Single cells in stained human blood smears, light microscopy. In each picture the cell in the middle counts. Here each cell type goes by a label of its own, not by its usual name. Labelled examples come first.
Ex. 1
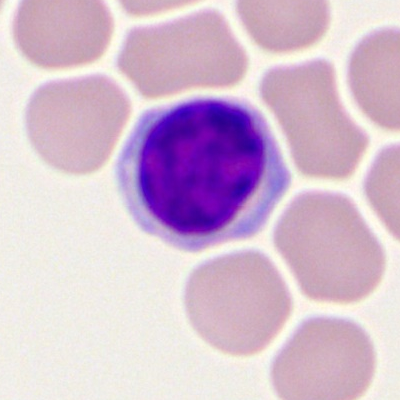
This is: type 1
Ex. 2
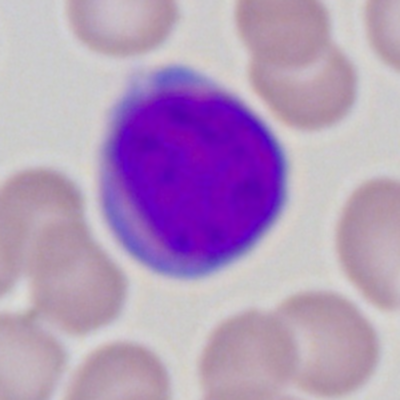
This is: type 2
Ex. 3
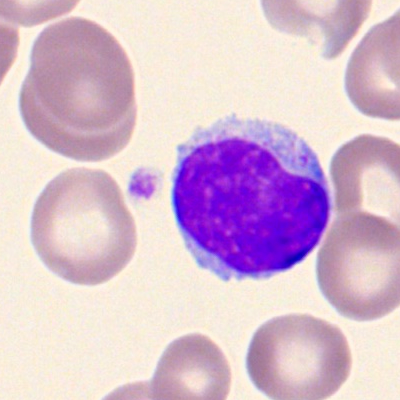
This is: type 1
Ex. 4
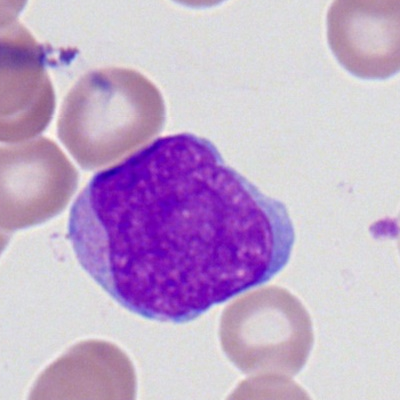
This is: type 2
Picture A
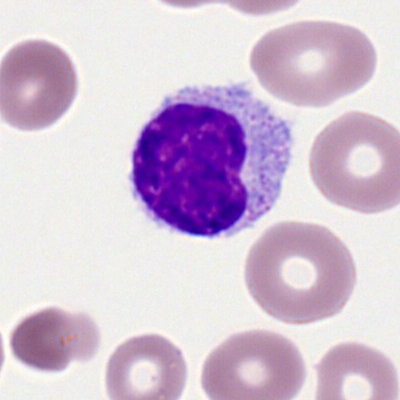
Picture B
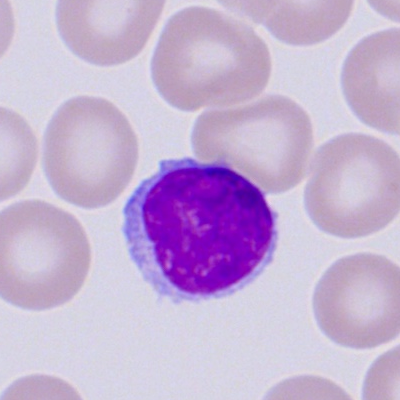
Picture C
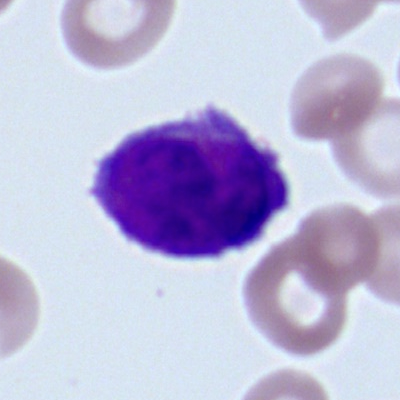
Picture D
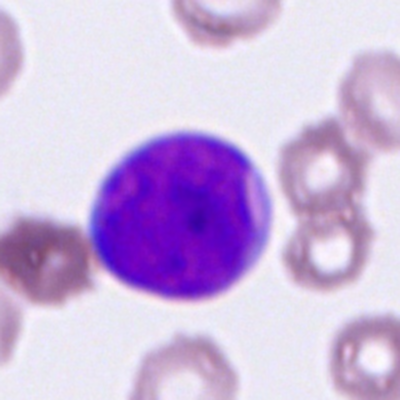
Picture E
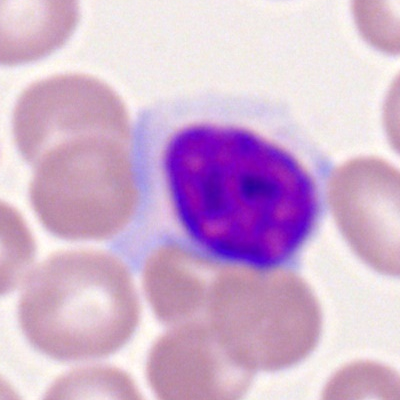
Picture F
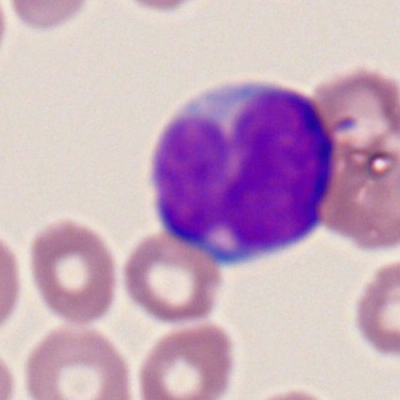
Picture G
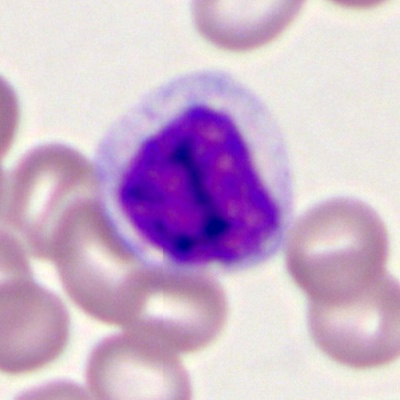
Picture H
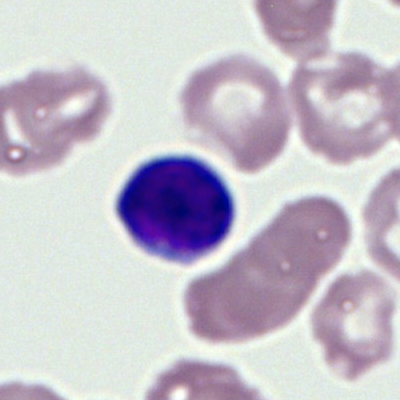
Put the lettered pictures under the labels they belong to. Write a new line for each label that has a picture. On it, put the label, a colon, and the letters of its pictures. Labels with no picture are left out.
type 1: A, B, E, G, H
type 2: C, D, F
